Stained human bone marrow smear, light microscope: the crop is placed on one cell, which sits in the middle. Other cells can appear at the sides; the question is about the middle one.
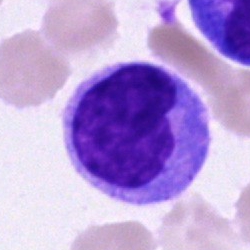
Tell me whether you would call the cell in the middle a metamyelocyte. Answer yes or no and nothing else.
no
